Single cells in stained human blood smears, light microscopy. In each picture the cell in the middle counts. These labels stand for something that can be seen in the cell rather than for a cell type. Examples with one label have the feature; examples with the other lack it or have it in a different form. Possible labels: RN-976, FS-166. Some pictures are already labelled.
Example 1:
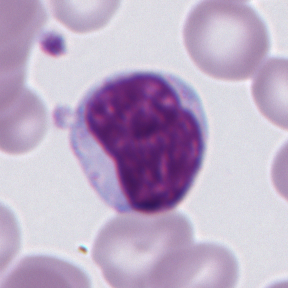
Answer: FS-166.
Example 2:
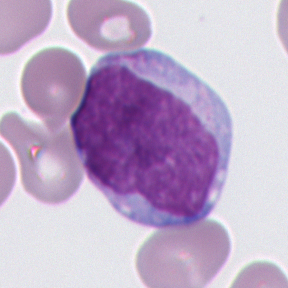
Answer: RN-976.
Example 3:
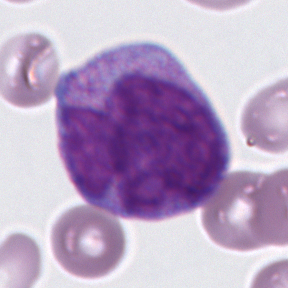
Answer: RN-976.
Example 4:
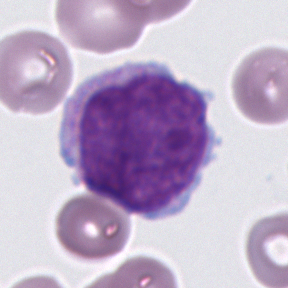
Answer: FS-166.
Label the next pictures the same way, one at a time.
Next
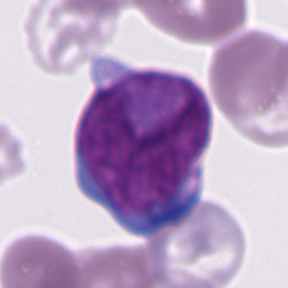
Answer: FS-166.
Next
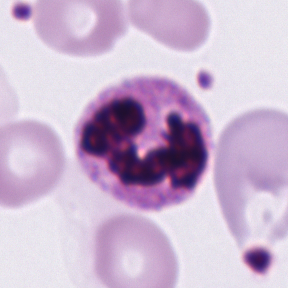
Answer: RN-976.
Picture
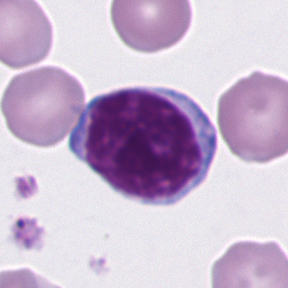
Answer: RN-976.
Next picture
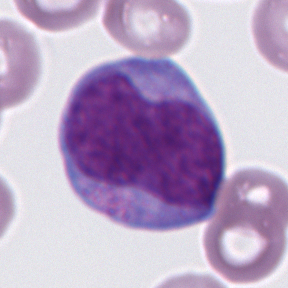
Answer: RN-976.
